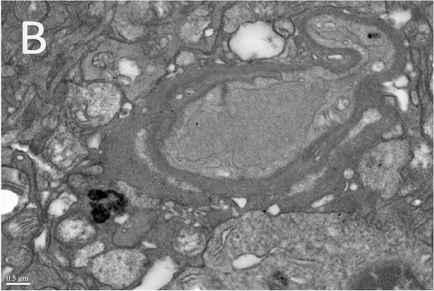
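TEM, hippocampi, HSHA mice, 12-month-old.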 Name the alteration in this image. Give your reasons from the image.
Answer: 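An elongated, irregular vessel profile with a thick dark wall. The lumen is flattened and oval. The answer: distorted capillary.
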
